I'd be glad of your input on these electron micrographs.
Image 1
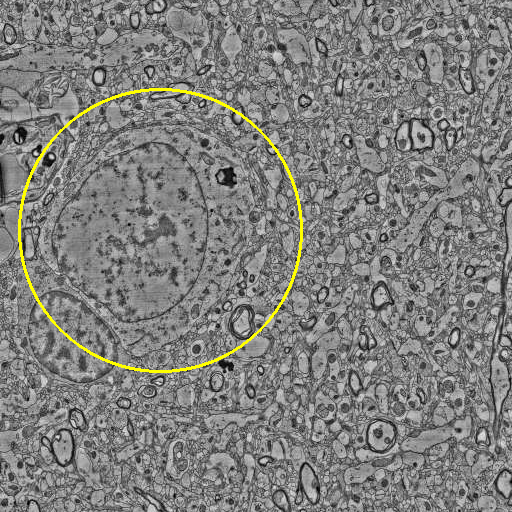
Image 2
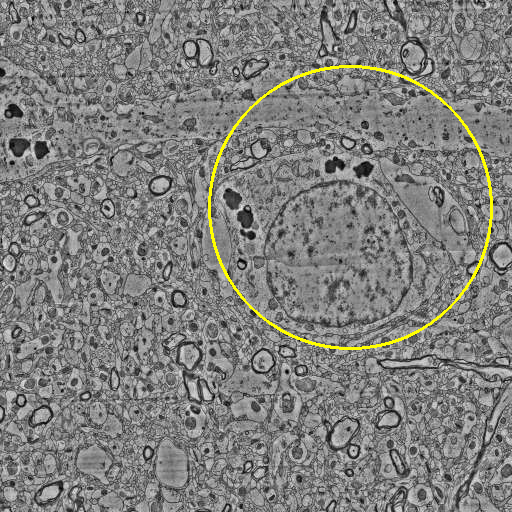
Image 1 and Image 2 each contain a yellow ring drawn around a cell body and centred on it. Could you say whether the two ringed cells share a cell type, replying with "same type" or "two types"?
two types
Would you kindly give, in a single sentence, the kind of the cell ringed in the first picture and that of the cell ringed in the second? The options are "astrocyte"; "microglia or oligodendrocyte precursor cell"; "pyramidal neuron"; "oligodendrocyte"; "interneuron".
The second cell is an interneuron, and the first cell is a pyramidal neuron.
